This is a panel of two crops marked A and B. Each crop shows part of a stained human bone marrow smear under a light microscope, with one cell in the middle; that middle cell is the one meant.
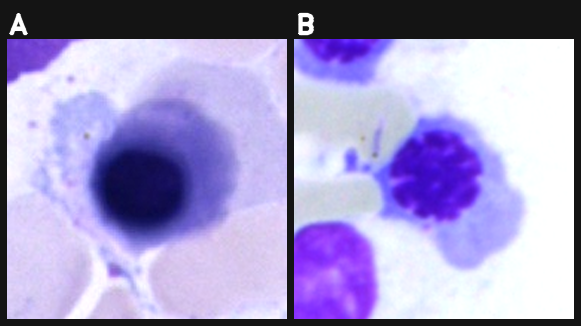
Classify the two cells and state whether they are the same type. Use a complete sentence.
Yes, the cells under consideration in both crops are normoblasts.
